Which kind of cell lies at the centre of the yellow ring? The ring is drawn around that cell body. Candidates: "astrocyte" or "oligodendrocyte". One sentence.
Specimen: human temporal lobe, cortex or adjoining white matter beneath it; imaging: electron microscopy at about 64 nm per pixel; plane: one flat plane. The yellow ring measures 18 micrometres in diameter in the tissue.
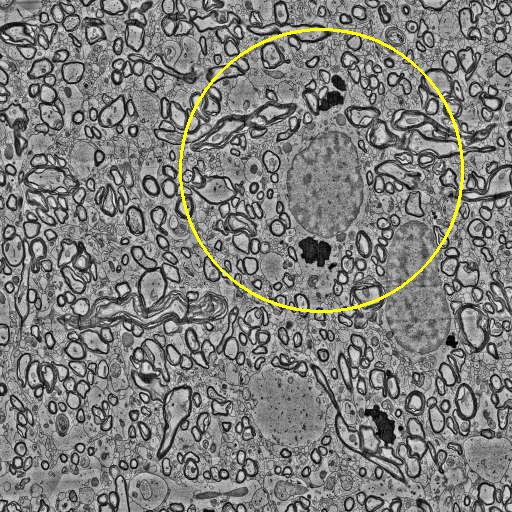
Lying at the centre of the ring is an oligodendrocyte.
